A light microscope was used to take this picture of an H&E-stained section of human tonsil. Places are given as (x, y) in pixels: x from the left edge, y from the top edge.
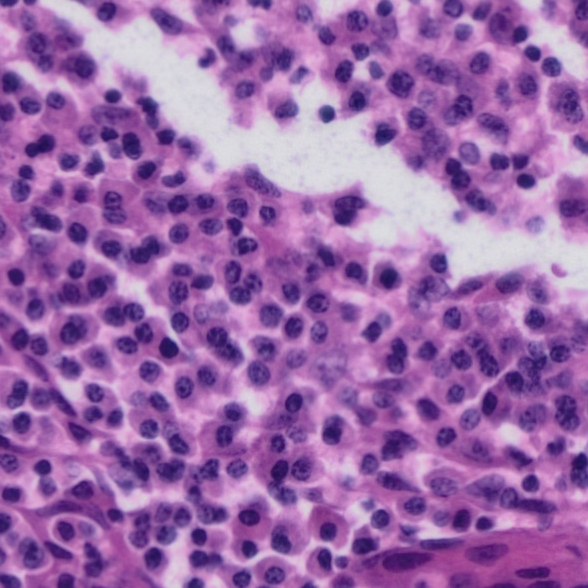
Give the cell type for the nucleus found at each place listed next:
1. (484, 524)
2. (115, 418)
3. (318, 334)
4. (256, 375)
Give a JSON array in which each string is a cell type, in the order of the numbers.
["squamous epithelial cell", "plasma cell", "plasma cell", "plasma cell"]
